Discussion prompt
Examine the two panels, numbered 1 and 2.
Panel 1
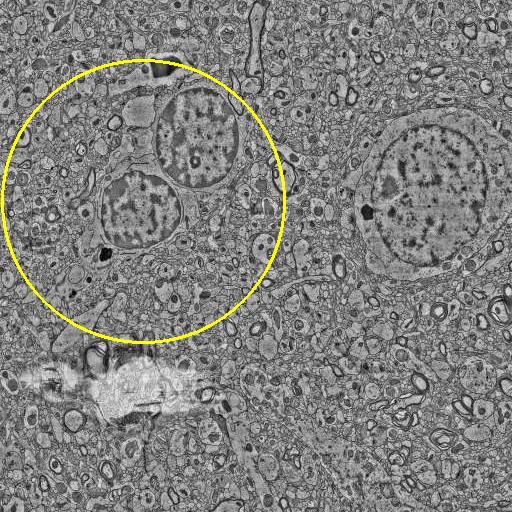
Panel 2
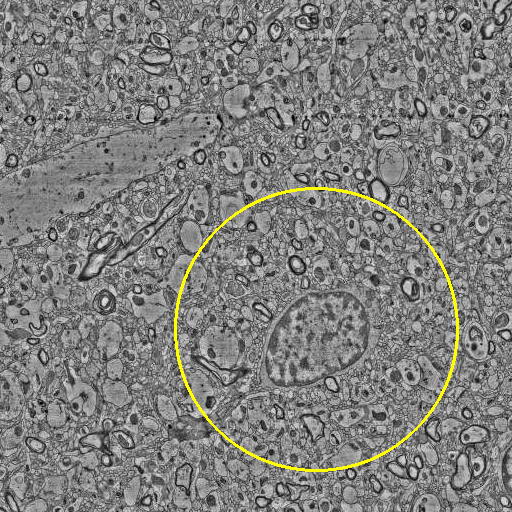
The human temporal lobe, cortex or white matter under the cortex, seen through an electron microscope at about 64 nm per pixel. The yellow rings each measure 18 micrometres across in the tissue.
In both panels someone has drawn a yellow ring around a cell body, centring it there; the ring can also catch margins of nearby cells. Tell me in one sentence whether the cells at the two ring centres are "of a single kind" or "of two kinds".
Taken together, the two cells centred in the rings of Panels 1 and 2 are of two kinds.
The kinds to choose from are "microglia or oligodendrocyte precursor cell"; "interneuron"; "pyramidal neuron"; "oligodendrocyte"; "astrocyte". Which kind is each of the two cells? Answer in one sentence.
Of the two, the first cell is a microglial cell or oligodendrocyte precursor cell and the second cell is an oligodendrocyte.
